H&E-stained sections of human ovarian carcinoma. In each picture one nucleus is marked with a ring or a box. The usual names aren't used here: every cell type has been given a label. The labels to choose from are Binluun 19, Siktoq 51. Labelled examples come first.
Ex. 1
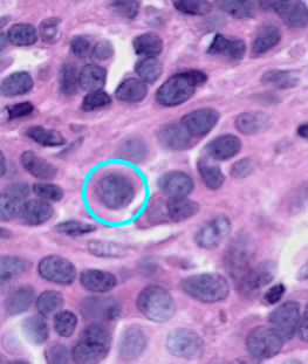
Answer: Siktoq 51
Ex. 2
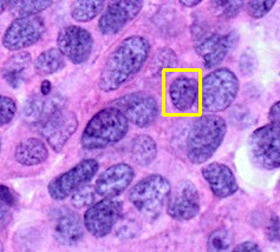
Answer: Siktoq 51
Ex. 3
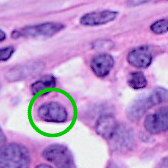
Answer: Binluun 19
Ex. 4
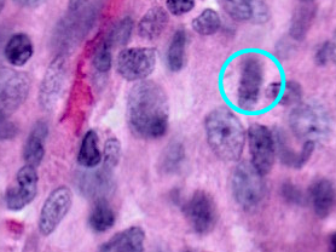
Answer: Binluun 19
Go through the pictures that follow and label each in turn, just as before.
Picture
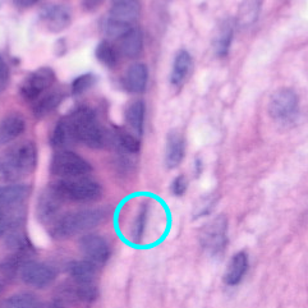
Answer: Binluun 19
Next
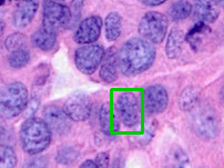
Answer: Siktoq 51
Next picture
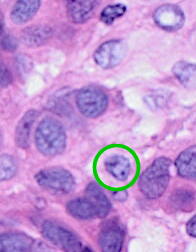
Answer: Binluun 19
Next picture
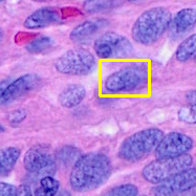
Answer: Siktoq 51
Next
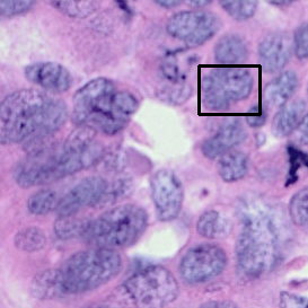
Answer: Siktoq 51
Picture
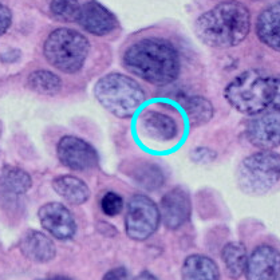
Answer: Siktoq 51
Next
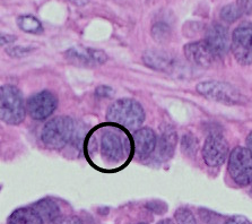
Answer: Siktoq 51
